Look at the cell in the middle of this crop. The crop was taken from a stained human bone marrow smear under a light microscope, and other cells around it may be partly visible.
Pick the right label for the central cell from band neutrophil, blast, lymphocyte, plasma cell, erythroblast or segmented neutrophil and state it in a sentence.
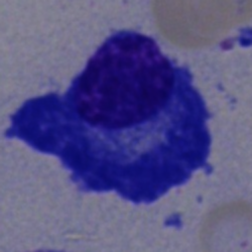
The cell positioned in the middle of the field is a plasma cell.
